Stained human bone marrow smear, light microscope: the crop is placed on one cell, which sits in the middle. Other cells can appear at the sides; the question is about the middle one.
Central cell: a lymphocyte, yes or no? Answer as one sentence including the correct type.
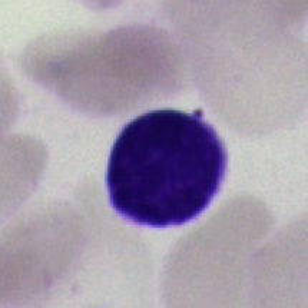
Yes, a lymphocyte is what the central cell is.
